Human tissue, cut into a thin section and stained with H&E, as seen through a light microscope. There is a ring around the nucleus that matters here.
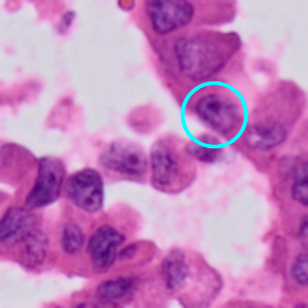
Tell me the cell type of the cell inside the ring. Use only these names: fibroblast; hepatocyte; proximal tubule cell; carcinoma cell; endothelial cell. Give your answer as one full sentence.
The cell type of the cell inside the ring is that of a carcinoma cell.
